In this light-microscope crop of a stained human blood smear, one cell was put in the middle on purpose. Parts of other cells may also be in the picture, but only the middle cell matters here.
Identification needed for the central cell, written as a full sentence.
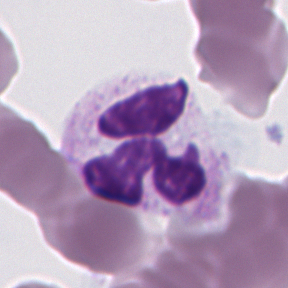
The cell featured at the centre of this crop is a segmented neutrophil.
